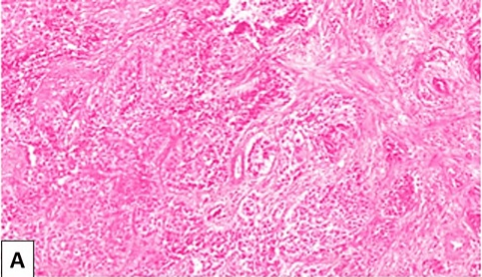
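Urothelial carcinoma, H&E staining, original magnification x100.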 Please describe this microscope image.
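Wavy bands of pale pink collagen run between and around the nests, without a smooth border. Small vessels can be seen within the stroma among the tumor nests.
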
